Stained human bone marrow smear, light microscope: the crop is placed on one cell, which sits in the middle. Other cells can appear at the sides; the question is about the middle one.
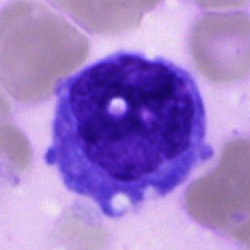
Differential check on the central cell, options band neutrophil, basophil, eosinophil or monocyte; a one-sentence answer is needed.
The cell occupying the middle of the crop is a monocyte.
